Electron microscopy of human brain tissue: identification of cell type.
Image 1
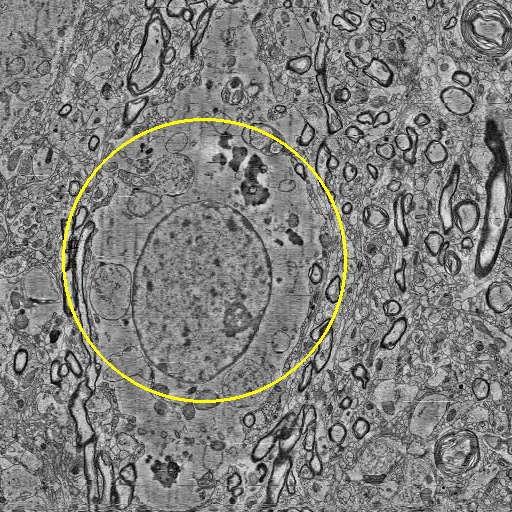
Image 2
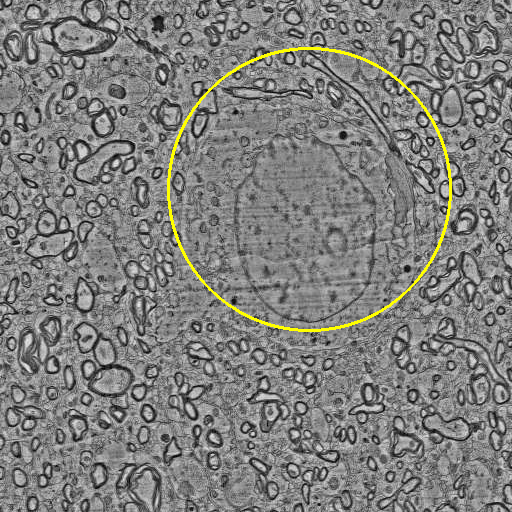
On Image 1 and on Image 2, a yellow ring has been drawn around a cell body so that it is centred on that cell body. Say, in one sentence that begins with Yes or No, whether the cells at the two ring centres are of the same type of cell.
No, the two cells are two separate types of cell.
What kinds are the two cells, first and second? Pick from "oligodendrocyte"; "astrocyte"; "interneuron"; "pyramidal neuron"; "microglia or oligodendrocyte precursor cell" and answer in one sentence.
The second picture holds a pyramidal neuron in its ring, and the first holds an astrocyte.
